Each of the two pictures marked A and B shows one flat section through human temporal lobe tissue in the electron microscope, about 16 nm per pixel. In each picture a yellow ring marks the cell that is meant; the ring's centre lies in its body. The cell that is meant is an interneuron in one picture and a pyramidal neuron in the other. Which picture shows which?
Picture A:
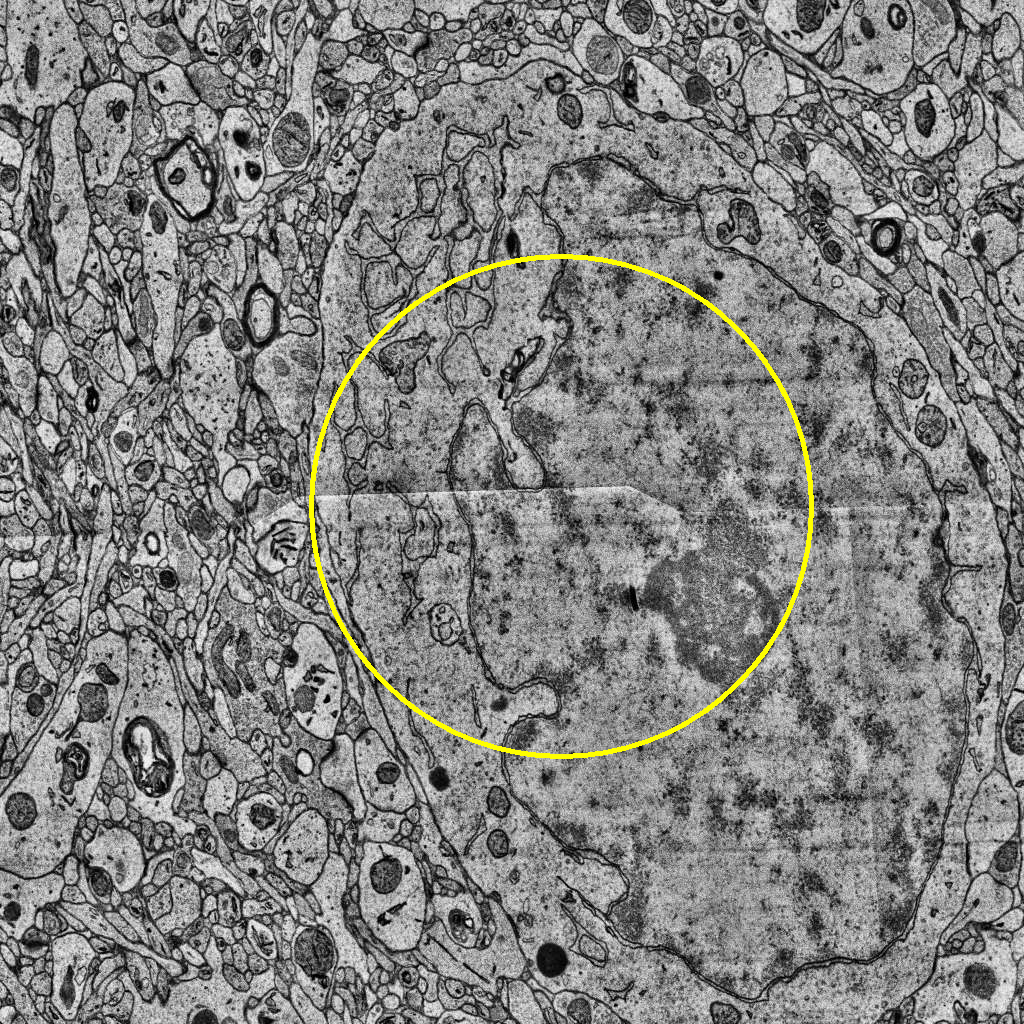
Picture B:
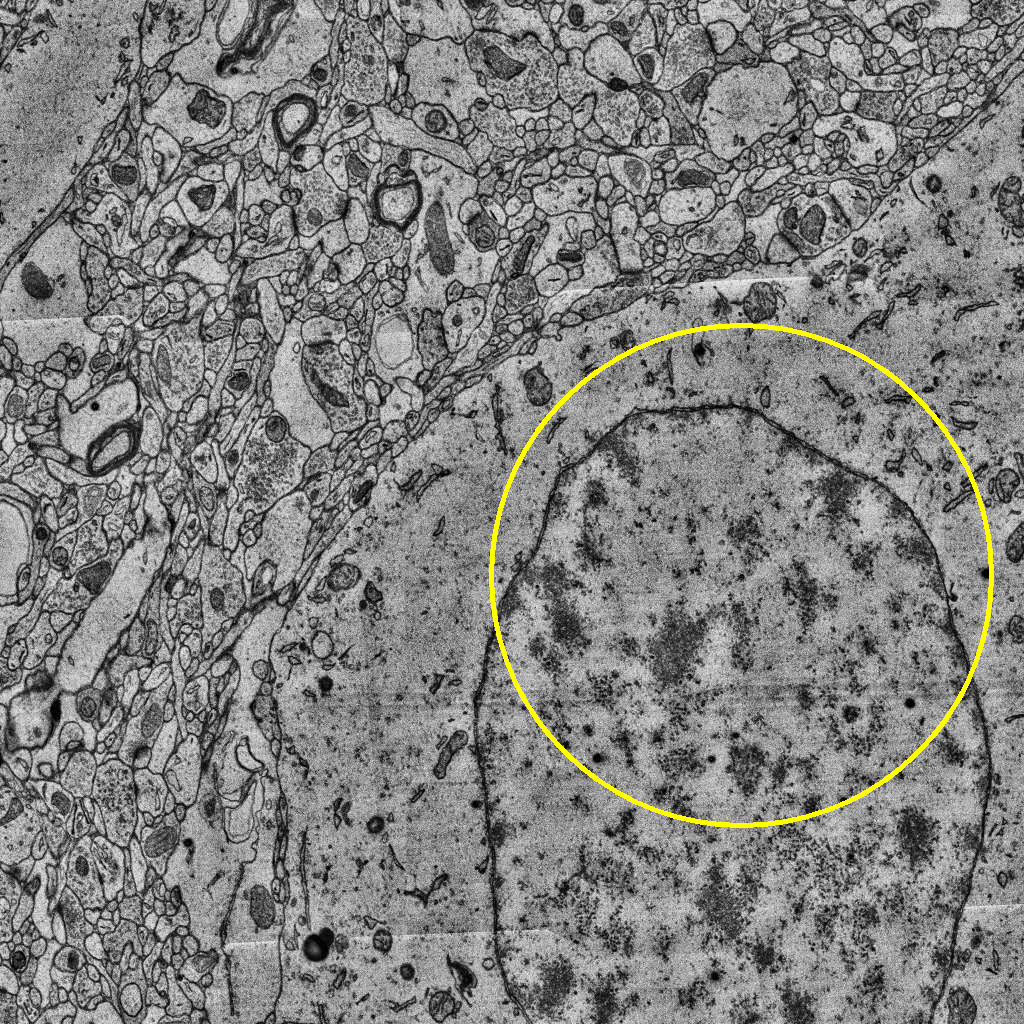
Picture B shows a pyramidal neuron, while picture A shows an interneuron.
